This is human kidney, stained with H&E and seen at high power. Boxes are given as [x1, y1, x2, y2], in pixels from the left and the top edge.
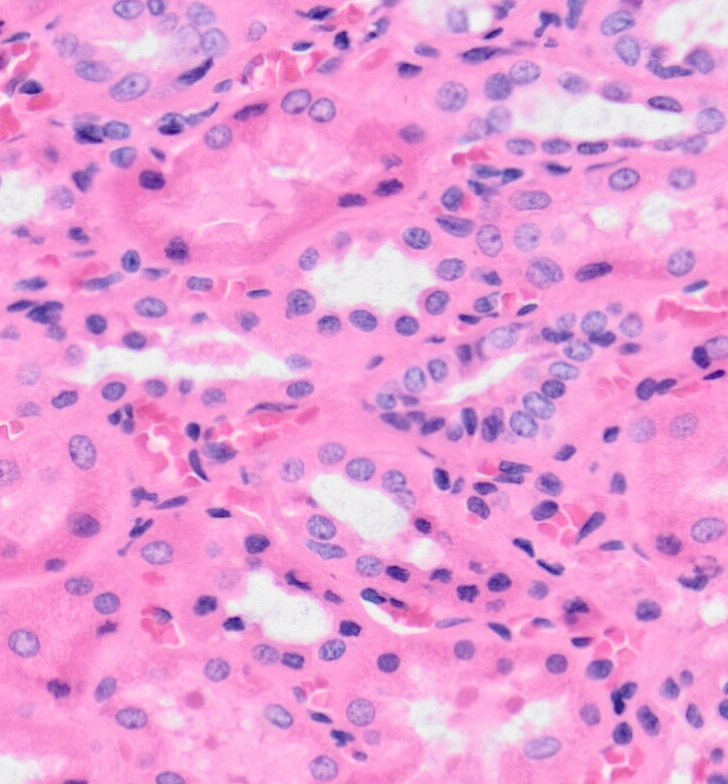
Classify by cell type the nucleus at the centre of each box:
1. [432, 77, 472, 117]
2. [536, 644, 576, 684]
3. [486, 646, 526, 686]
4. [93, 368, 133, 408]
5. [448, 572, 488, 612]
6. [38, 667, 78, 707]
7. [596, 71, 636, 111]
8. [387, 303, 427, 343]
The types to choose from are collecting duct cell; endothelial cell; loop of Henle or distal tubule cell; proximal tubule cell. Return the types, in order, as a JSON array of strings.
["loop of Henle or distal tubule cell", "proximal tubule cell", "proximal tubule cell", "loop of Henle or distal tubule cell", "loop of Henle or distal tubule cell", "proximal tubule cell", "loop of Henle or distal tubule cell", "loop of Henle or distal tubule cell"]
